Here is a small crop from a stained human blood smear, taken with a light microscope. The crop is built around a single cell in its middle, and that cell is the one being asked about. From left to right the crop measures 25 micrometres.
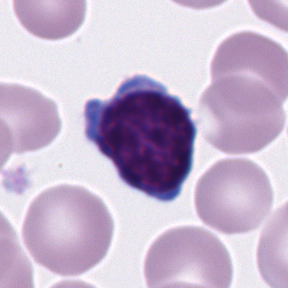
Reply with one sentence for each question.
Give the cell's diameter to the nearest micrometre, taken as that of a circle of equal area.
Taken as a circle, the cell has a diameter of about 10 micrometres.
